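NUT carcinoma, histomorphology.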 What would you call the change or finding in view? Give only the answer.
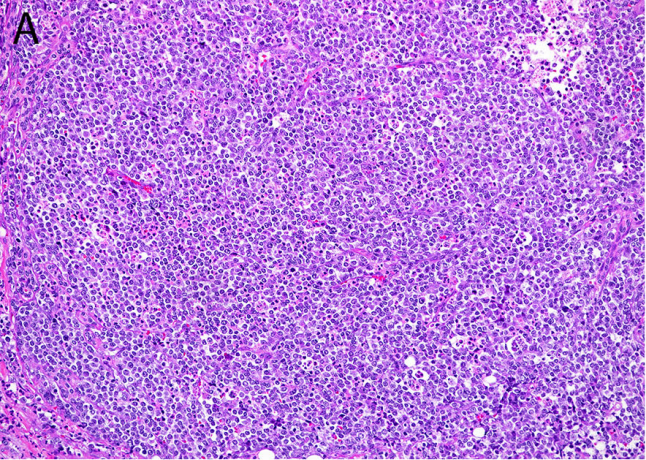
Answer: focal necrosis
